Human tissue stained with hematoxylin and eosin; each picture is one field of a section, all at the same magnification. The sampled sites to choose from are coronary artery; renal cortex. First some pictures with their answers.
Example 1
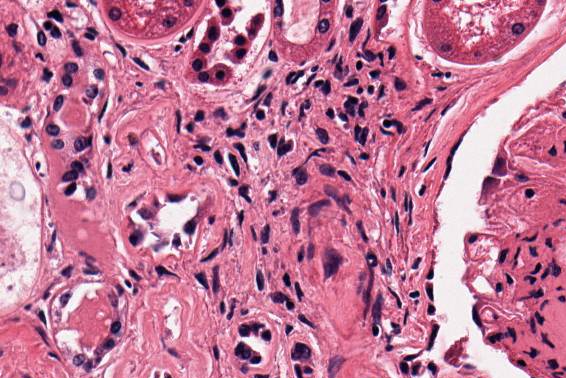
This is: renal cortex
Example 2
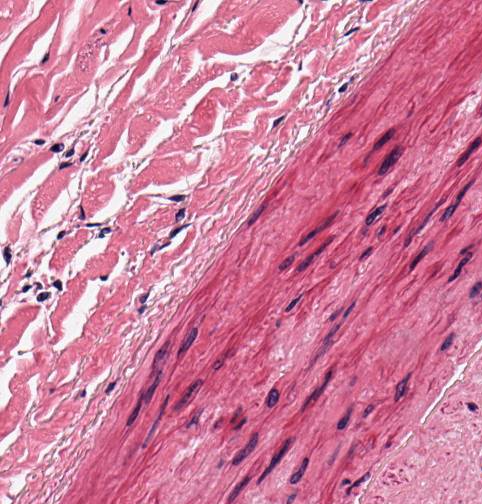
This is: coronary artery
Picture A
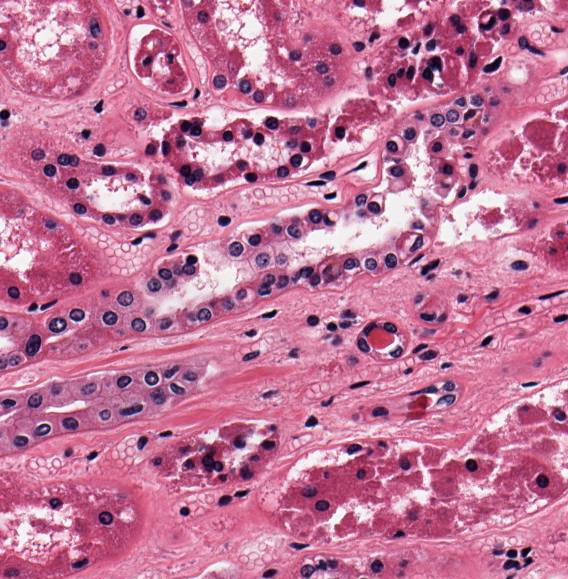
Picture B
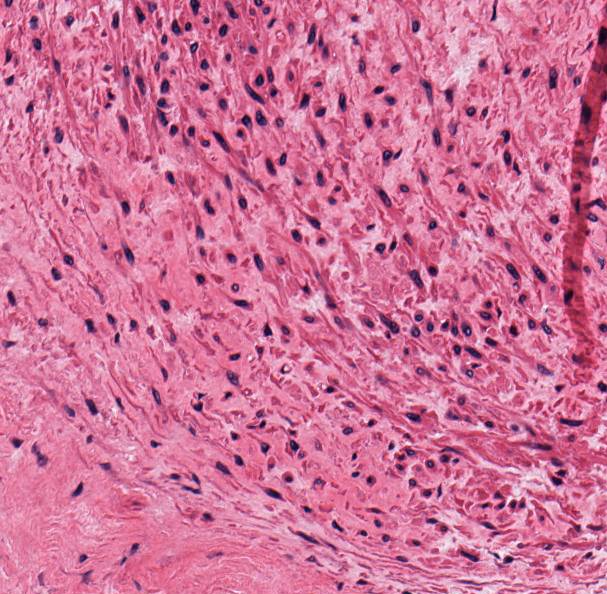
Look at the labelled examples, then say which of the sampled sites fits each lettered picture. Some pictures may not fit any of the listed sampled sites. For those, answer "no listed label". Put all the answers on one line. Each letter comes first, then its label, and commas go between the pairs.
A renal cortex, B coronary artery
